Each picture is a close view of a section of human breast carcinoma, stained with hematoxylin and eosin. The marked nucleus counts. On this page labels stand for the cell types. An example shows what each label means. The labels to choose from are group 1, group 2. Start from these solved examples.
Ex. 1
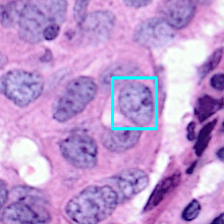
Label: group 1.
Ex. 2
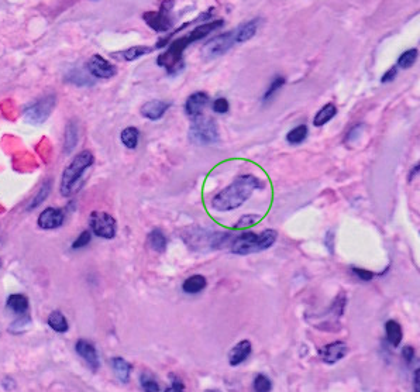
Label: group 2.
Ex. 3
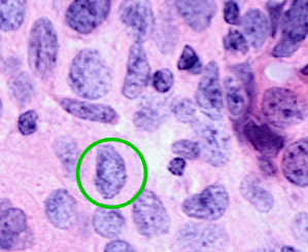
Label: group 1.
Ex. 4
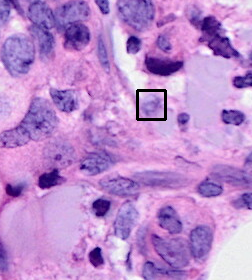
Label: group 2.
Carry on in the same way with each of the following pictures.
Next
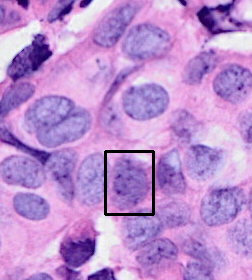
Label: group 1.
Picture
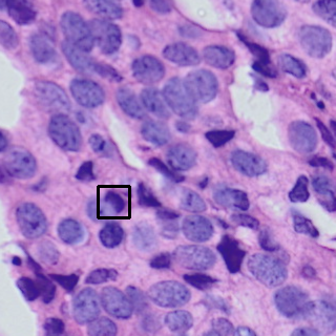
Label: group 1.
